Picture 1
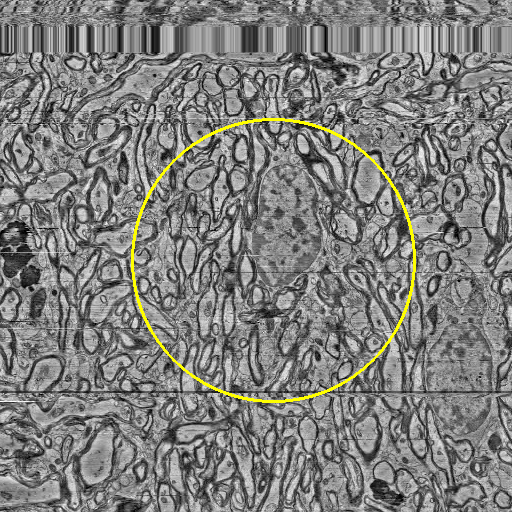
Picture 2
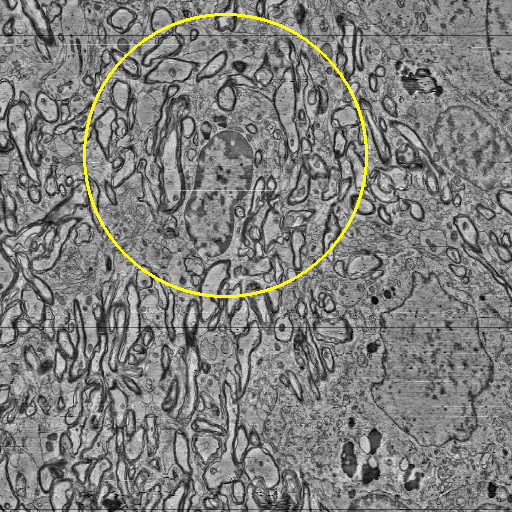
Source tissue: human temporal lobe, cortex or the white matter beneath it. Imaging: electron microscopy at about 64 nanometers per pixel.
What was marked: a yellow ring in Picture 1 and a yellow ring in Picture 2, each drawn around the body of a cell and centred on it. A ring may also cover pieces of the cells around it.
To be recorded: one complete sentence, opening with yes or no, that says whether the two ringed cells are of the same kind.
Yes, the two ringed cells are of the same kind.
